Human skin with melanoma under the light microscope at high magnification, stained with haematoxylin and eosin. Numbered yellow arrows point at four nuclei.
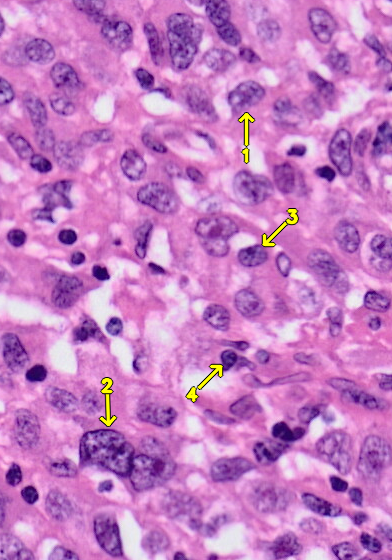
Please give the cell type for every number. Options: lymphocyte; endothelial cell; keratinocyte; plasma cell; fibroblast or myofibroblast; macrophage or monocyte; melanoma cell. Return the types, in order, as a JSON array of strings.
["melanoma cell", "melanoma cell", "melanoma cell", "lymphocyte"]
